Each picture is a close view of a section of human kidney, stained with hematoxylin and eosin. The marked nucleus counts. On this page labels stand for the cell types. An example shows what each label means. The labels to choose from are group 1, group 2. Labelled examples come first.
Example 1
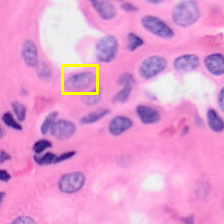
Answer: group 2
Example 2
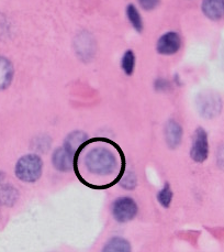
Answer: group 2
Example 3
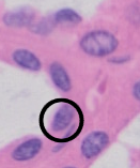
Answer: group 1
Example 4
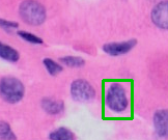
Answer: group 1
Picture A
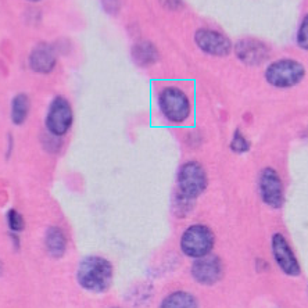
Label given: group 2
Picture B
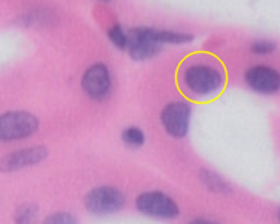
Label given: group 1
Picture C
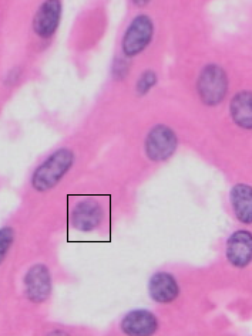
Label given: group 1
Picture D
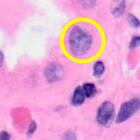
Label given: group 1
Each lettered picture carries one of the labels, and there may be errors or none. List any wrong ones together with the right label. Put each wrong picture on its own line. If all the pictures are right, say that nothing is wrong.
A: change group 2 to group 1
